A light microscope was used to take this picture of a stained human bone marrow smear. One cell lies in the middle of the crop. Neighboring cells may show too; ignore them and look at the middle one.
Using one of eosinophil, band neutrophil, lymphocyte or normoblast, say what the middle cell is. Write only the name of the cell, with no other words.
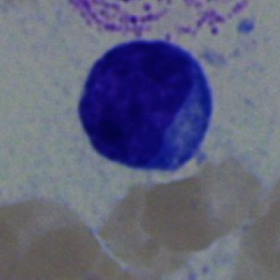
lymphocyte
